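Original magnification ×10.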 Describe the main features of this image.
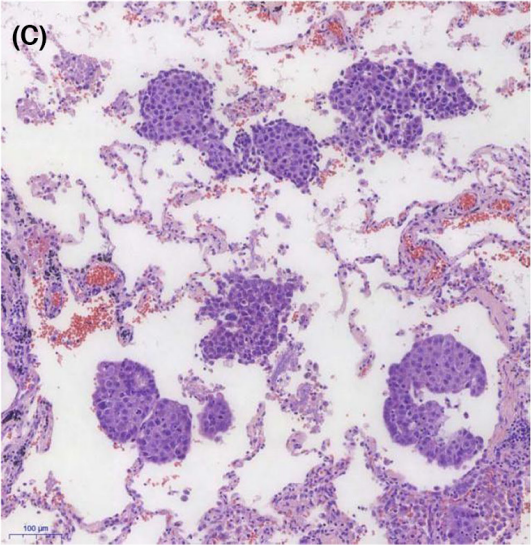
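This is lung tissue with thin alveolar walls in which several air spaces contain large, solid nests of tumor cells. One nest is curved in a horseshoe shape around a central space.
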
